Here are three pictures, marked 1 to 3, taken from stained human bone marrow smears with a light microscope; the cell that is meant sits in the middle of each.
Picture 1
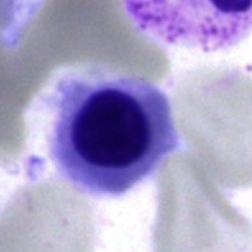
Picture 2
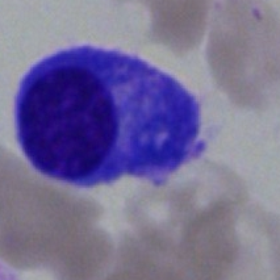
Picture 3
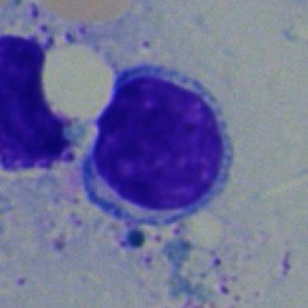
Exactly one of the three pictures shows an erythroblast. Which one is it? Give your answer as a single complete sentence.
The erythroblast is the one in picture 1.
